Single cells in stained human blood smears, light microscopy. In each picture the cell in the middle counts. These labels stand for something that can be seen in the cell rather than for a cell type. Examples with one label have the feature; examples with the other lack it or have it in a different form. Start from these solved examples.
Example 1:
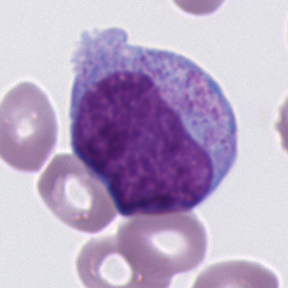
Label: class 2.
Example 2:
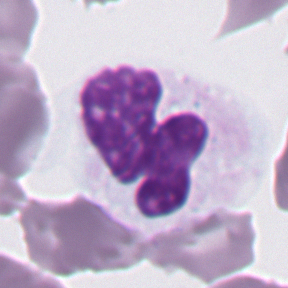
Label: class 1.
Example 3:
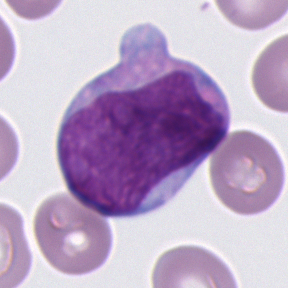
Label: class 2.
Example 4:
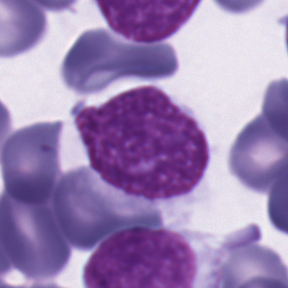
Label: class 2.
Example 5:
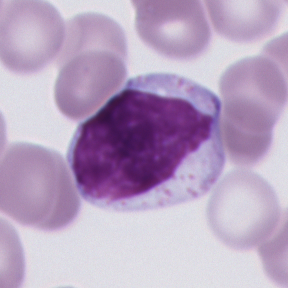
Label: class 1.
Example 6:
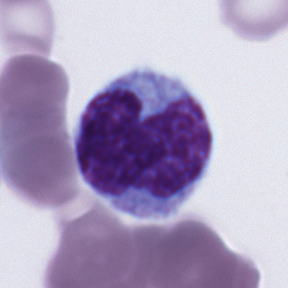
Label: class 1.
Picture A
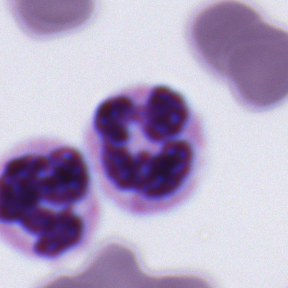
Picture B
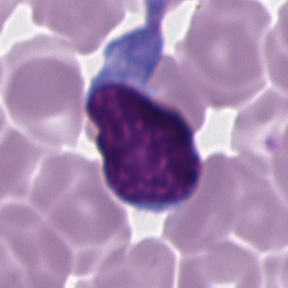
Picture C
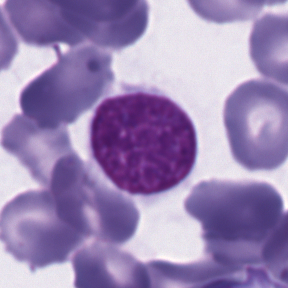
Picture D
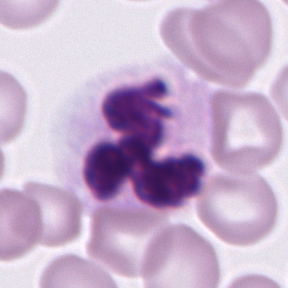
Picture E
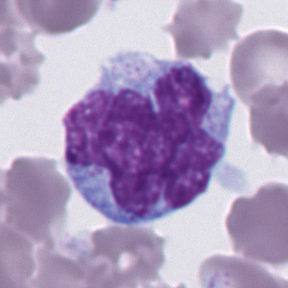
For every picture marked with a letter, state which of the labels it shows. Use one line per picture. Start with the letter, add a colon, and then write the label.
A: class 1.
B: class 2.
C: class 1.
D: class 1.
E: class 2.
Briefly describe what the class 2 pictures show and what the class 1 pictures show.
In class 2: ragged outline or projections. In class 1: smooth outline.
